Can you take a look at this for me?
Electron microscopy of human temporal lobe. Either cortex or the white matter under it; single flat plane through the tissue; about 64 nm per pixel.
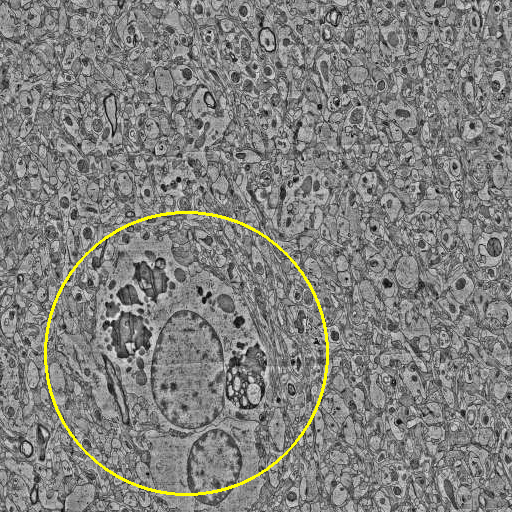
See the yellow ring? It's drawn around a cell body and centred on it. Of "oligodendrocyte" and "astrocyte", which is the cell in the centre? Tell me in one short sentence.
The one in the centre is an astrocyte.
